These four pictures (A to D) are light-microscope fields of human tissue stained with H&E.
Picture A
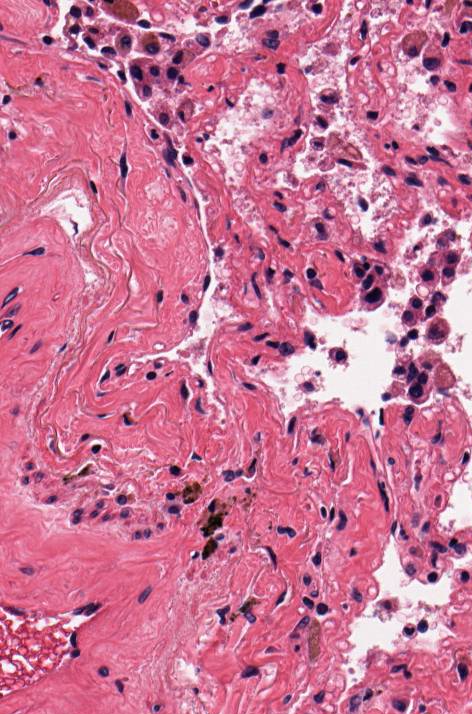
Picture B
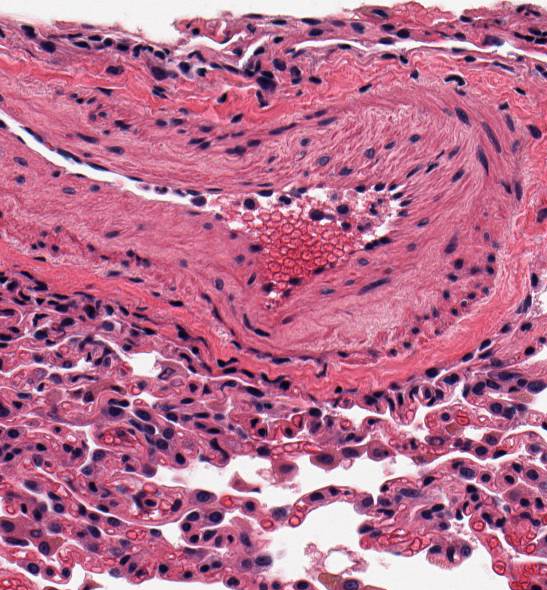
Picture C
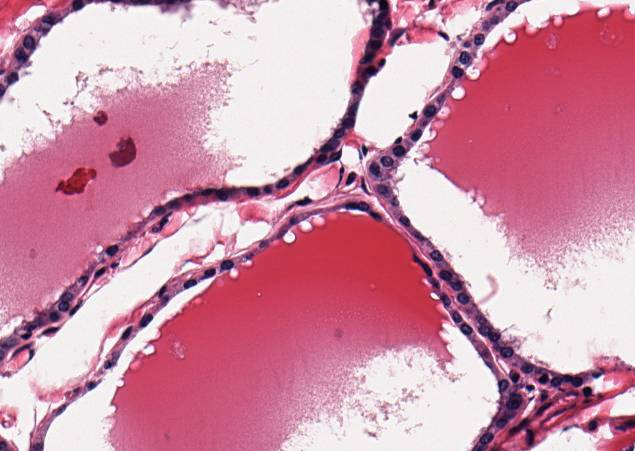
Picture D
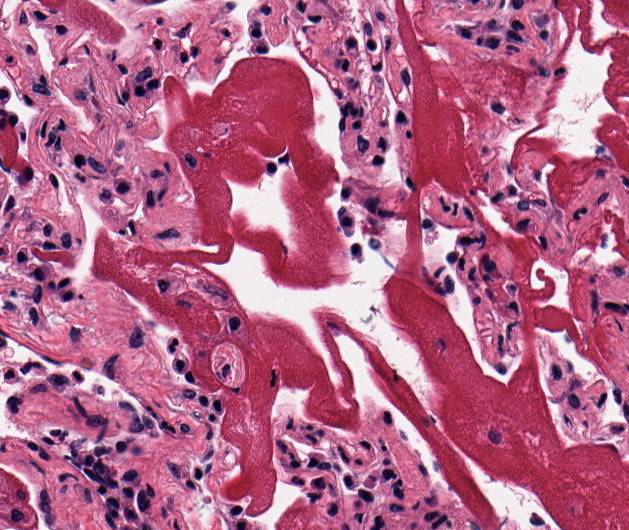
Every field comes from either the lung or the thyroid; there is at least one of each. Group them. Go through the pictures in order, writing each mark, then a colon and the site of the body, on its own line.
A: lung
B: lung
C: thyroid
D: lung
